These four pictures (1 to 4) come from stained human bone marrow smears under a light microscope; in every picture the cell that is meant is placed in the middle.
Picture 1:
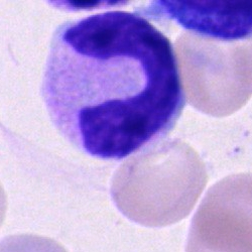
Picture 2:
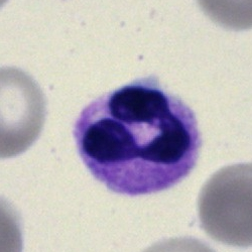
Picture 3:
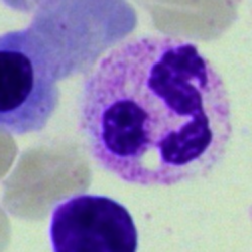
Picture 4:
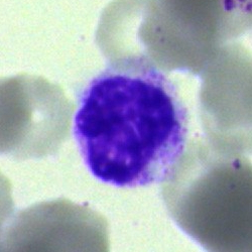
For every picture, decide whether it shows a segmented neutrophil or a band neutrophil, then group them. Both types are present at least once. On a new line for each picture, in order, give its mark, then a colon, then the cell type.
1: band neutrophil
2: segmented neutrophil
3: segmented neutrophil
4: band neutrophil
